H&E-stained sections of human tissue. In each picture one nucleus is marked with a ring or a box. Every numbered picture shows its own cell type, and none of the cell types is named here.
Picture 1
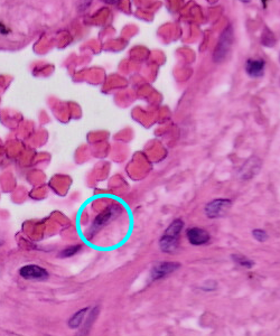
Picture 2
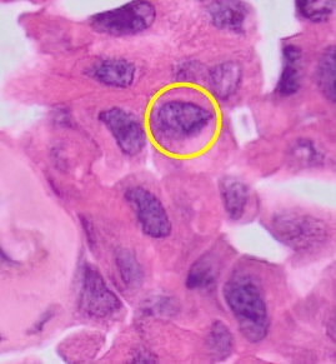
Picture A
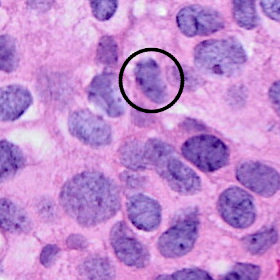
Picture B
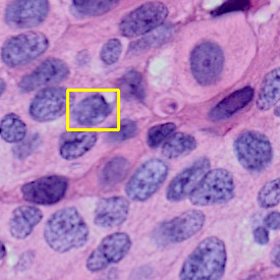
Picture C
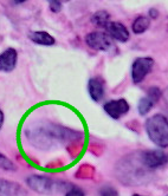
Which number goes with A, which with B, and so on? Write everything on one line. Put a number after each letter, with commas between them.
A 2, B 2, C 1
